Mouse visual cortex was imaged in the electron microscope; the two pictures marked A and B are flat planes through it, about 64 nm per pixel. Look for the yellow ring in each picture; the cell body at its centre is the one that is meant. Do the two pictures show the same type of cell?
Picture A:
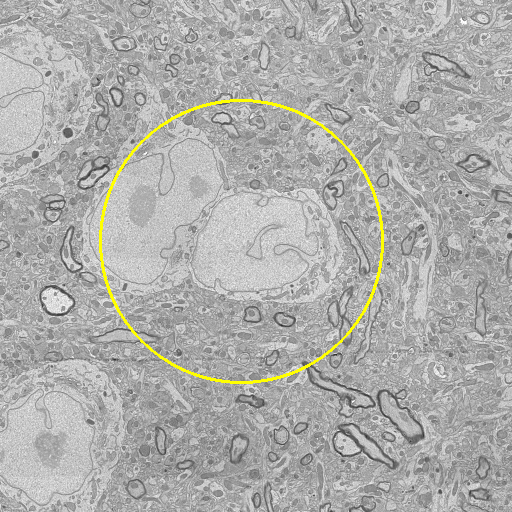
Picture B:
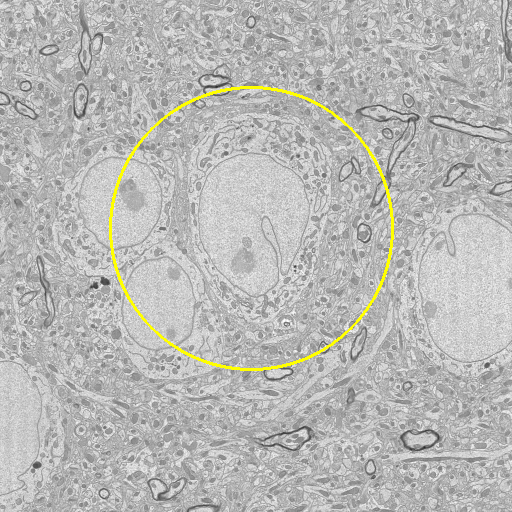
Yes, they are the same type: both are inhibitory neurons.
